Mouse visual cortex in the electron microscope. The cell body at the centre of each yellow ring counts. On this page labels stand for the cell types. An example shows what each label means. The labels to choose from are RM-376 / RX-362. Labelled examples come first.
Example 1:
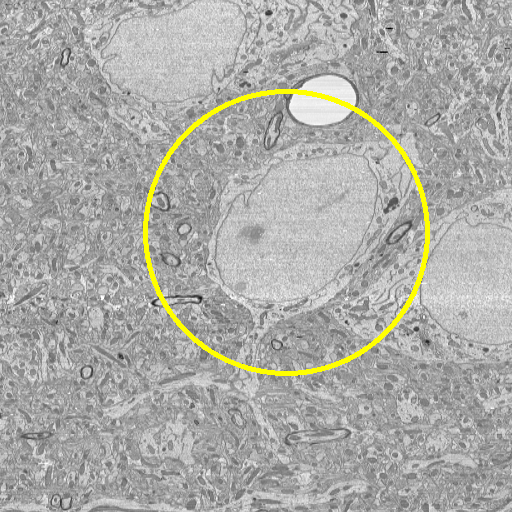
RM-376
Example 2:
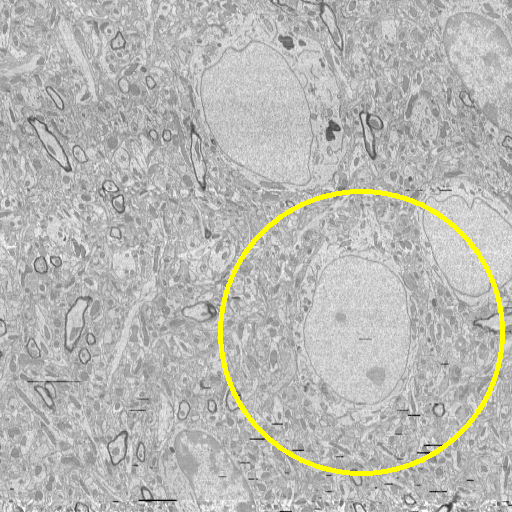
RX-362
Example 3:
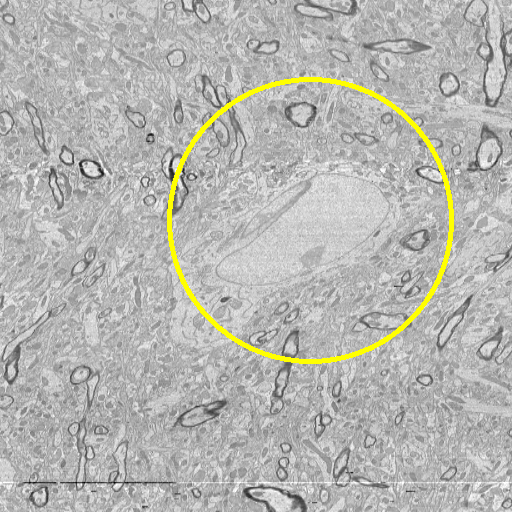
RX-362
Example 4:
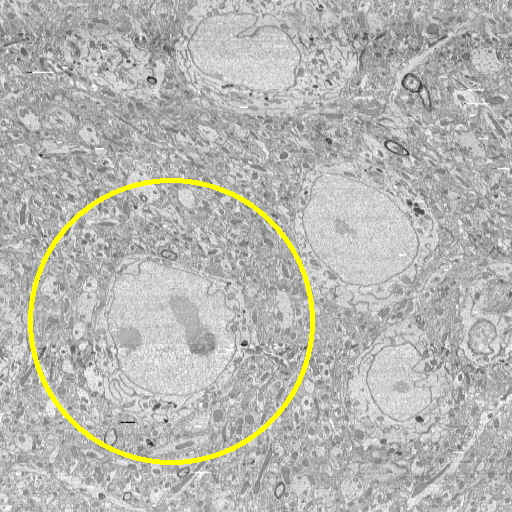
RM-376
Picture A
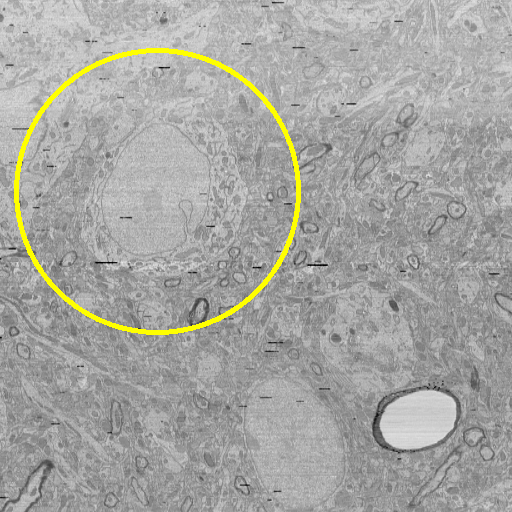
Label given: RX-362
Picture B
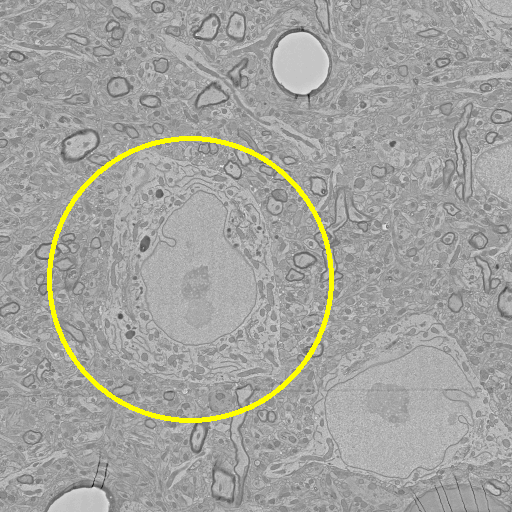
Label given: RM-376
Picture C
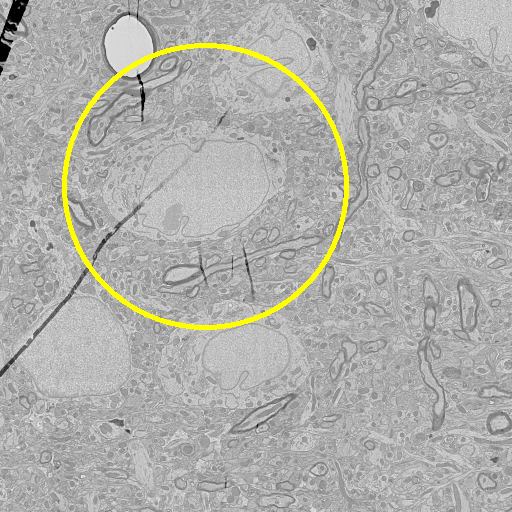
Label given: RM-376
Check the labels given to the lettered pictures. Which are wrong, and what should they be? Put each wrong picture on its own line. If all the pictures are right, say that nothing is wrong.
A should be RM-376, not RX-362
C should be RX-362, not RM-376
